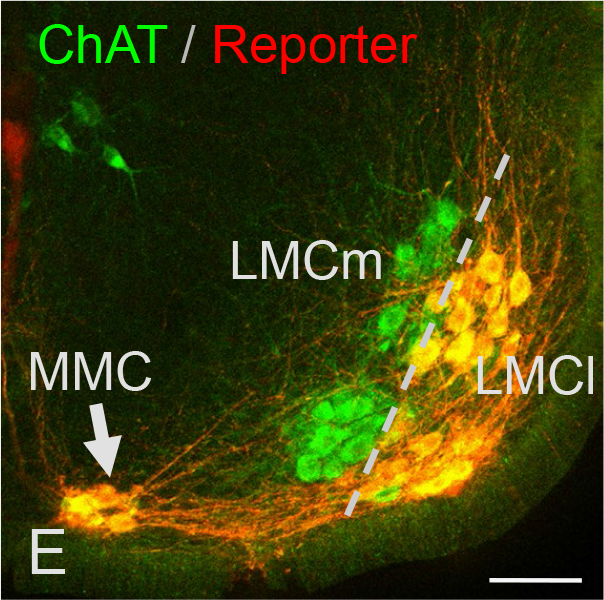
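Large round somata form a lateral group that is yellow, red and green together, and an adjacent medial group of similar large somata that is green only, the two separated along an oblique line. A small yellow cluster sits ventromedially near the ventral border. Dense red dendrites and axons sweep from the lateral group toward the medial cluster and the ventral white matter. A few scattered green-only cells lie dorsomedially. Cell bodies are rounded to polygonal with smooth outlines.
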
